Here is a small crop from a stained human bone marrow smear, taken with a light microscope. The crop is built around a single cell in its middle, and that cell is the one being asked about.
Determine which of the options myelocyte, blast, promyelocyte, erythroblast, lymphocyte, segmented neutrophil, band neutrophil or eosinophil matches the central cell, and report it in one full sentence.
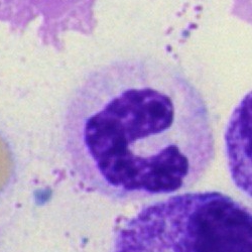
Looking at the middle of the crop, the cell there is a band neutrophil.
